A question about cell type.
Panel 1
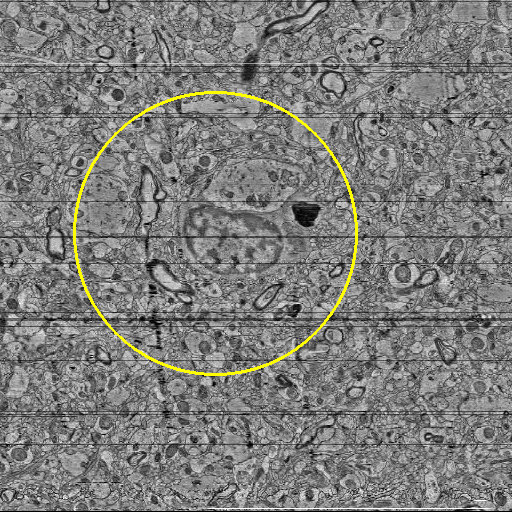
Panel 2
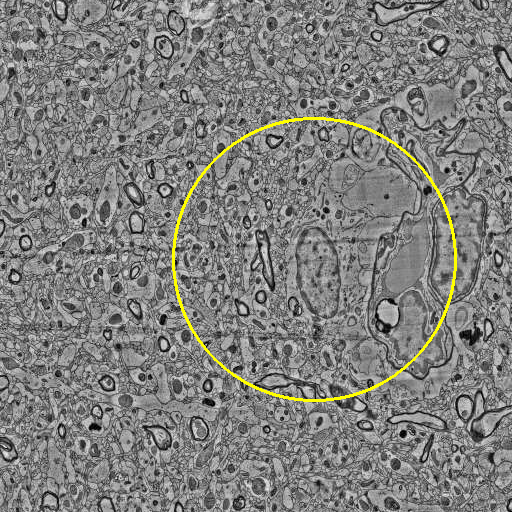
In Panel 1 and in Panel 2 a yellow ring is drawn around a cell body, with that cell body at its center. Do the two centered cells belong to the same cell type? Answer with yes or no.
no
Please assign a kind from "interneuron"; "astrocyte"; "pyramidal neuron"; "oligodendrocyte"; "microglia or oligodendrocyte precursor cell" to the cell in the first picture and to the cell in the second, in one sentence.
In the first picture we have an oligodendrocyte, and in the second, a microglial cell or oligodendrocyte precursor cell.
